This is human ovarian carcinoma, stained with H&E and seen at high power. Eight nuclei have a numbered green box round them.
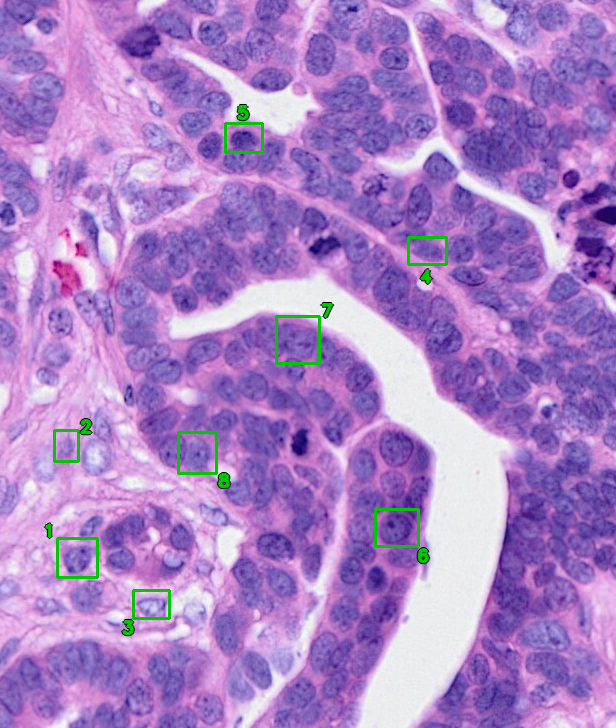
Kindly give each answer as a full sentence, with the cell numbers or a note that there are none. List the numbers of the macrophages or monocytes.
It is only cell 1 that is a macrophage or monocyte among the numbered cells.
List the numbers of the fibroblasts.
The cells marked 2 and 3 in the section are fibroblasts.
